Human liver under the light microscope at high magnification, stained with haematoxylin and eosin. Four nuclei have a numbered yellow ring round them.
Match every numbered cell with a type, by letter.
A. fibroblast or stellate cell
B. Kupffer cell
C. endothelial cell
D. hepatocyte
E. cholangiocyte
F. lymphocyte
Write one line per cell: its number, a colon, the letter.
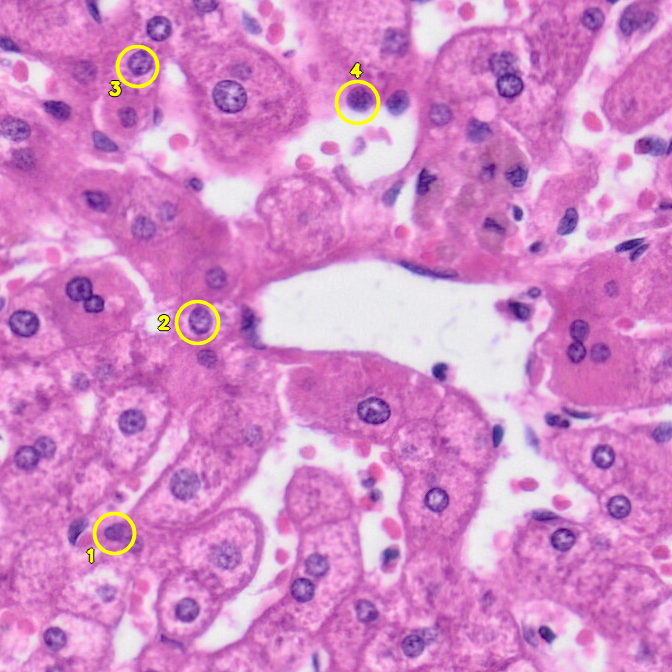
1: B
2: D
3: D
4: C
